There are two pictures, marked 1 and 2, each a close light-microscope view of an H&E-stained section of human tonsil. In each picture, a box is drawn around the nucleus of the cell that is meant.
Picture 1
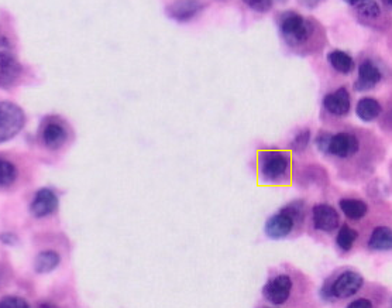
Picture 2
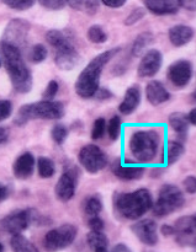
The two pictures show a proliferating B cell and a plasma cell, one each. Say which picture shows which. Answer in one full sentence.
In picture 1 the cell is a plasma cell; in picture 2, a proliferating B cell.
